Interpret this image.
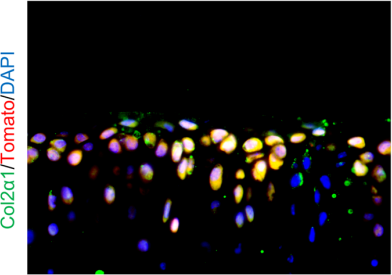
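Articular cartilage at the joint surface with its chondrocytes. Rounded to oval cells lie singly, each in its own space, in a band a few cells deep just beneath the smooth surface. Most of these upper cells glow yellow to orange where red and green overlap, with a bright, almost white centre where the blue nucleus lies. Cells deeper in the tissue are fewer labeled, showing mainly blue nuclei, some oval or flattened. Scattered small green dots lie between the cells. Above the surface the field is dark.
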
